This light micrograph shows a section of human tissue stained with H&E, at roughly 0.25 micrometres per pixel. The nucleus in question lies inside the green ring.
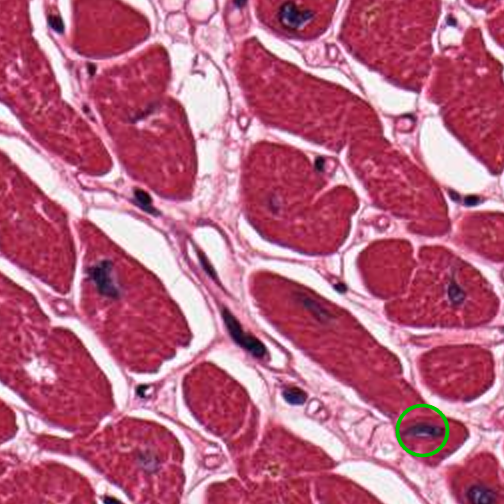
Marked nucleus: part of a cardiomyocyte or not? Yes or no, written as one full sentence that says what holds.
Yes, the marked nucleus is to be assigned to a cardiomyocyte.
